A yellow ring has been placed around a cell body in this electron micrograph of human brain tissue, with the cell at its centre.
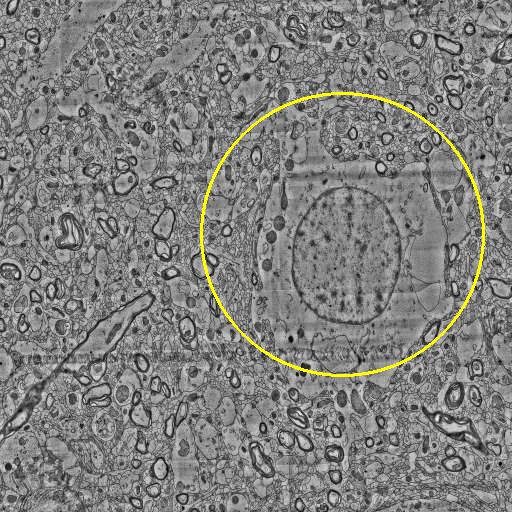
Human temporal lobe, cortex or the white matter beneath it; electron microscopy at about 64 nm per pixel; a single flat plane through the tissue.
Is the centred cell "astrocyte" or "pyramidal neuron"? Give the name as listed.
astrocyte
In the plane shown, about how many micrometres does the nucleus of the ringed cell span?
In this plane, the nucleus is roughly 9 by 7 micrometres.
